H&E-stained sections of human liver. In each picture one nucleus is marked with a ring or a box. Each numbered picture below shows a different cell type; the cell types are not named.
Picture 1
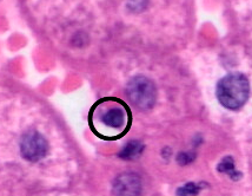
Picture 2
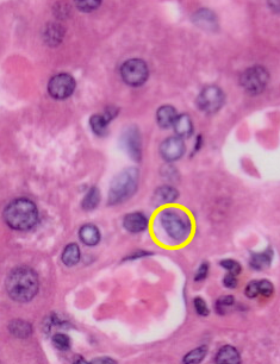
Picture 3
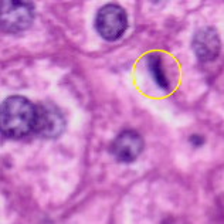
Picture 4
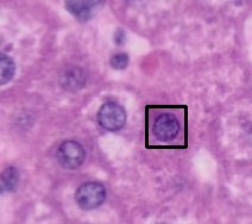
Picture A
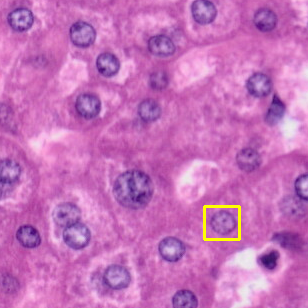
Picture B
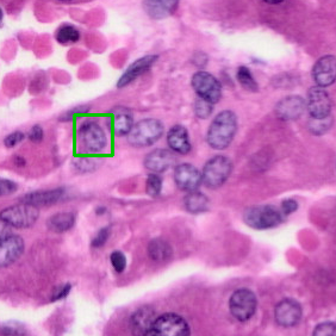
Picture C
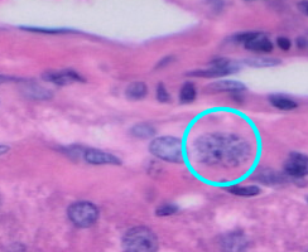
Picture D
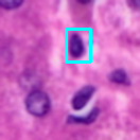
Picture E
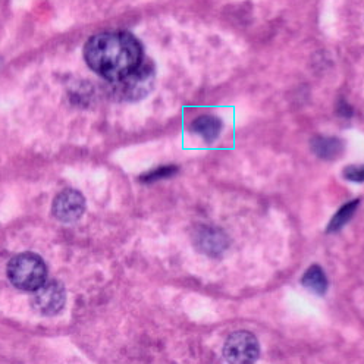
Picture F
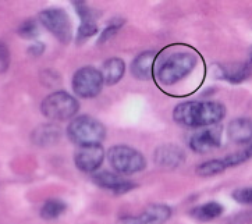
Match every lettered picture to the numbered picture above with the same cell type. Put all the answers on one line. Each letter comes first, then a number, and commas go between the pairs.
A 4, B 2, C 2, D 1, E 3, F 2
